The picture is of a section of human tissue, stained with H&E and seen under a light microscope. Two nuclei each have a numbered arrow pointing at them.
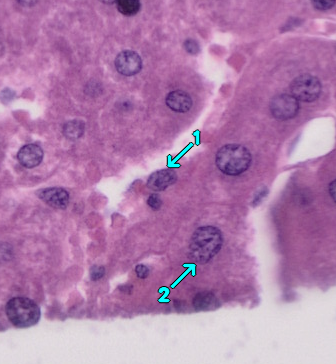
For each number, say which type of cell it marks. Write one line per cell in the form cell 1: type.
cell 1: Kupffer cell
cell 2: hepatocyte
